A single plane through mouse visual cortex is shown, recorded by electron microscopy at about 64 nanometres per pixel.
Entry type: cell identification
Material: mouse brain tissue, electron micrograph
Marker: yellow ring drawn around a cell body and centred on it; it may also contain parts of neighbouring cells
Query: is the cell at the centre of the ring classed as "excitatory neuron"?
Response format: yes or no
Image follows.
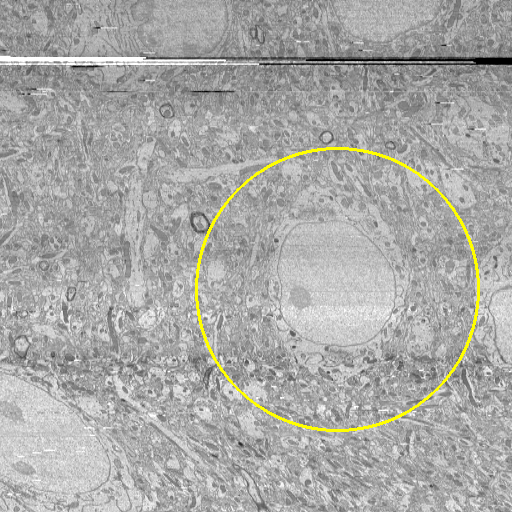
yes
